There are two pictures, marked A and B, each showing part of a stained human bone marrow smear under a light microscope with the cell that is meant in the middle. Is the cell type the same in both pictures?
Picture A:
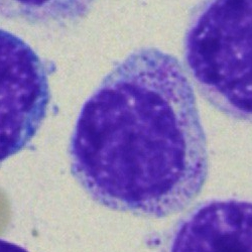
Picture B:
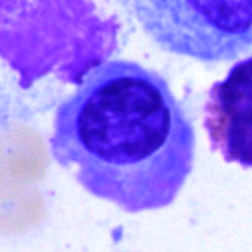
no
